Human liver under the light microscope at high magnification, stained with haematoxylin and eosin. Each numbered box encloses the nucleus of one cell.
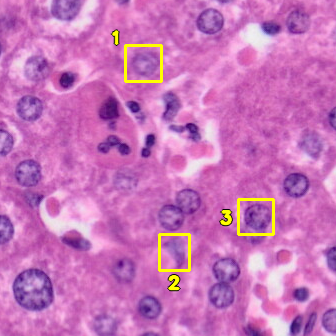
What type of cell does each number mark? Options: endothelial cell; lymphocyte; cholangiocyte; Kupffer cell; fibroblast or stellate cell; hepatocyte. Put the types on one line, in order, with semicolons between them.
hepatocyte; endothelial cell; hepatocyte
